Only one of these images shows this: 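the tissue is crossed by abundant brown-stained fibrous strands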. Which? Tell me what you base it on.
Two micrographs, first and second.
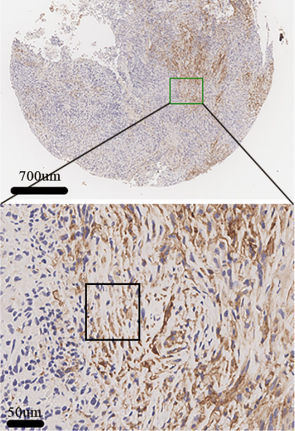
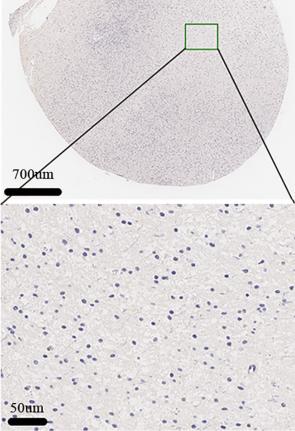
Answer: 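The first image. First image: dense brown fibrillar strands run between crowded blue nuclei. Second image: pale background with scattered blue nuclei and almost no brown stain.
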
